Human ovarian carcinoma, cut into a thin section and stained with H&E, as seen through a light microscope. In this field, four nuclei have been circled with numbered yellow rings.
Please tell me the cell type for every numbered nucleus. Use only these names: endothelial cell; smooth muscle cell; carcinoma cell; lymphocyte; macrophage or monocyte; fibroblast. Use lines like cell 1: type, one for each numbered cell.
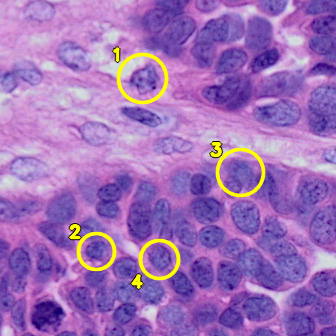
cell 1: macrophage or monocyte
cell 2: carcinoma cell
cell 3: carcinoma cell
cell 4: carcinoma cell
